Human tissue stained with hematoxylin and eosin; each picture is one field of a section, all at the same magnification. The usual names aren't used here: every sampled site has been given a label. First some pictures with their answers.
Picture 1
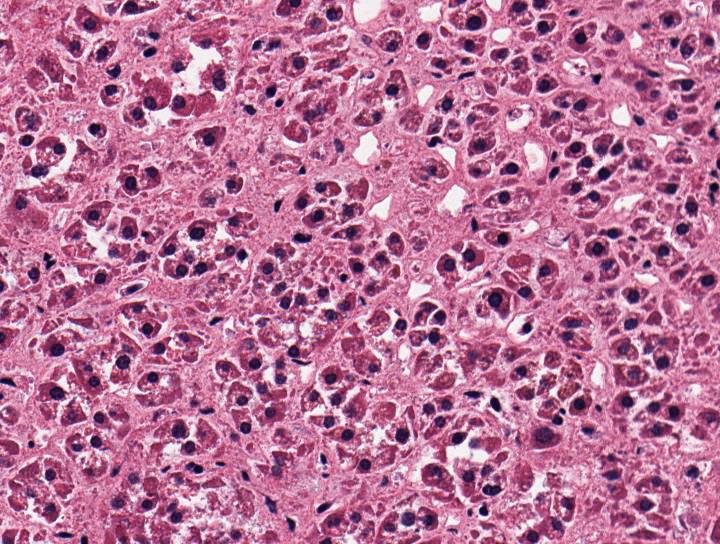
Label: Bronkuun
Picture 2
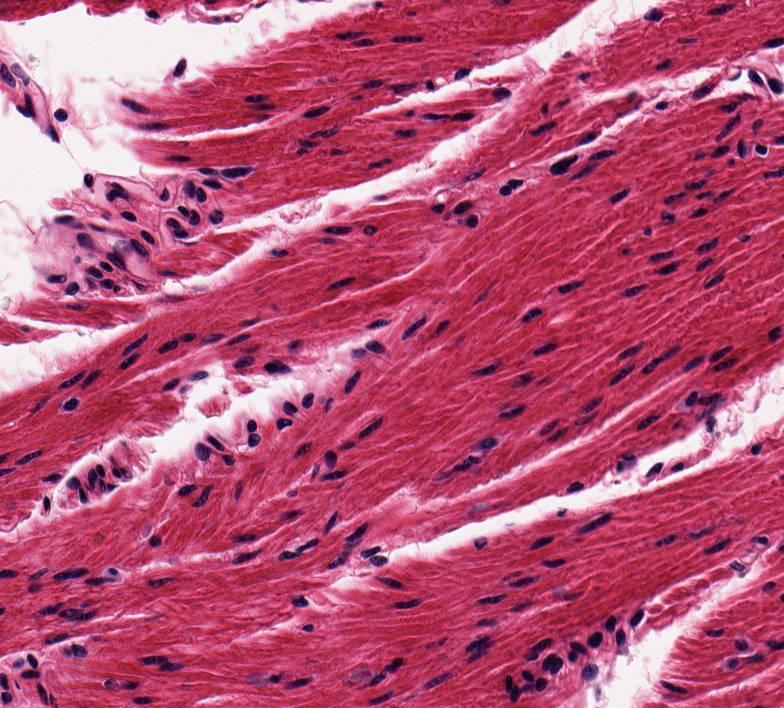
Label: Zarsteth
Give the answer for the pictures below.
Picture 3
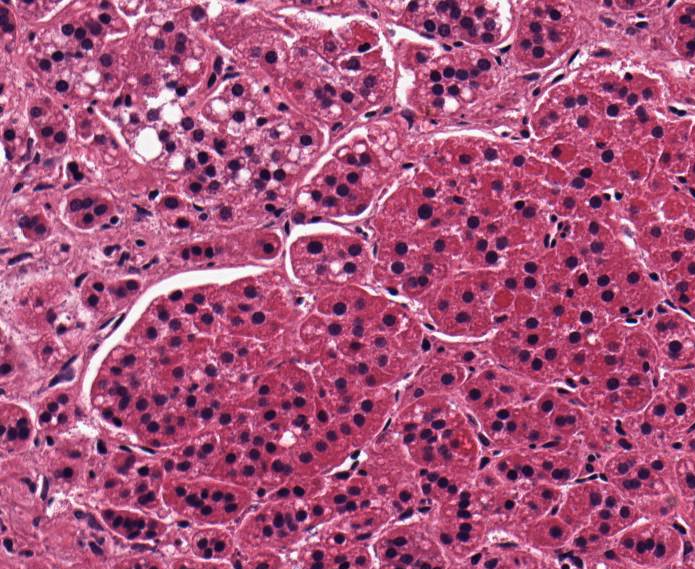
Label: Bronkuun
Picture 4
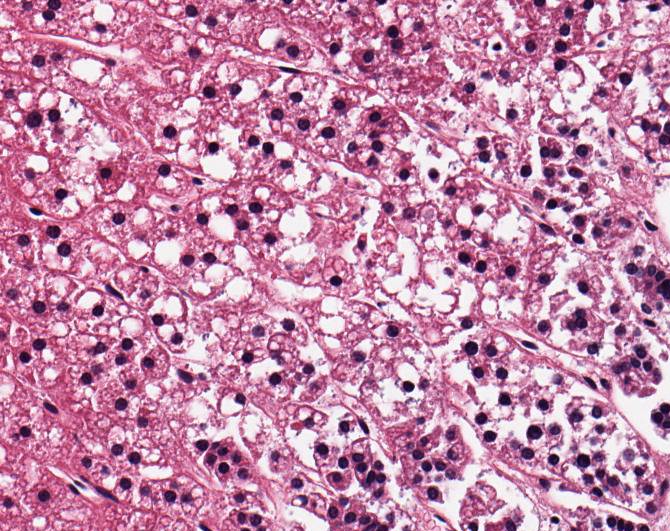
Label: Bronkuun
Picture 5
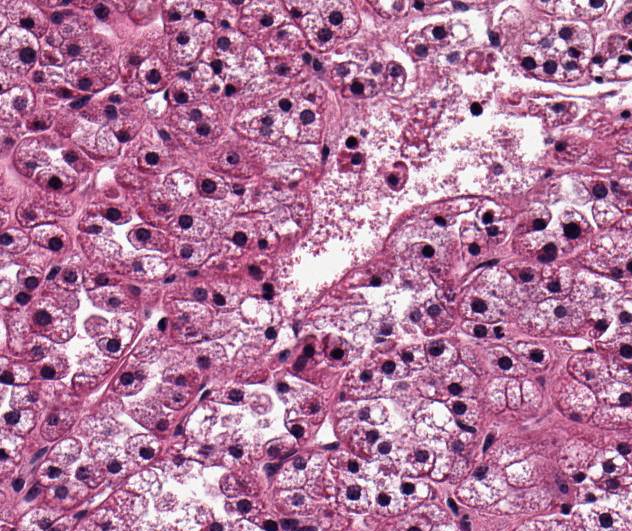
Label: Bronkuun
